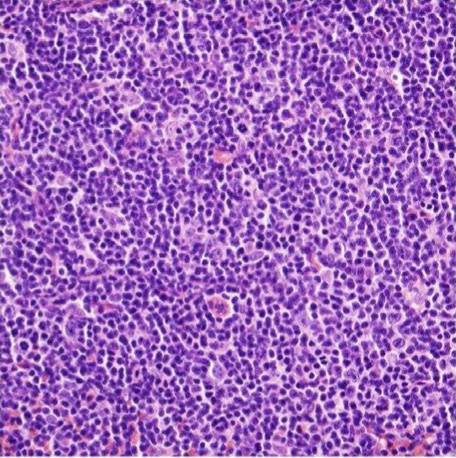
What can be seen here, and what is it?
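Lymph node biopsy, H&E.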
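A continuous dense sheet of small to medium round cells with dark purple nuclei and very little cytoplasm covers the whole field. The nuclei vary slightly, some round, some somewhat irregular or angulated, with a few larger paler nuclei scattered among them. Small vessels with pink walls and a few red cells run through the sheet, and no normal architecture of separate regions can be made out in this field.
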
